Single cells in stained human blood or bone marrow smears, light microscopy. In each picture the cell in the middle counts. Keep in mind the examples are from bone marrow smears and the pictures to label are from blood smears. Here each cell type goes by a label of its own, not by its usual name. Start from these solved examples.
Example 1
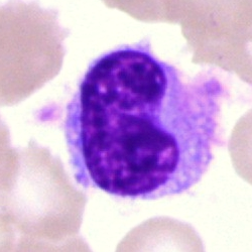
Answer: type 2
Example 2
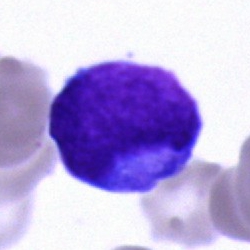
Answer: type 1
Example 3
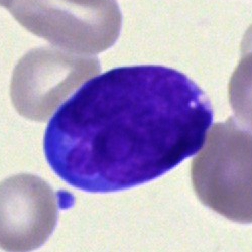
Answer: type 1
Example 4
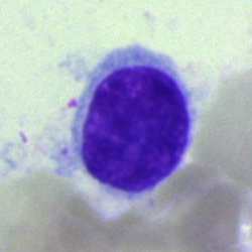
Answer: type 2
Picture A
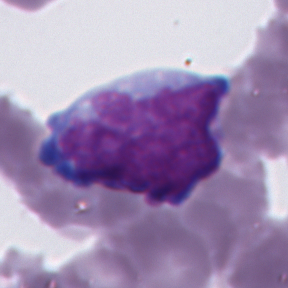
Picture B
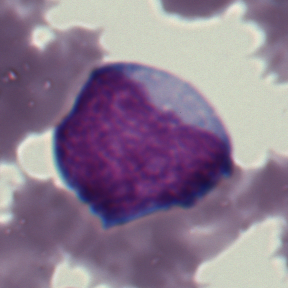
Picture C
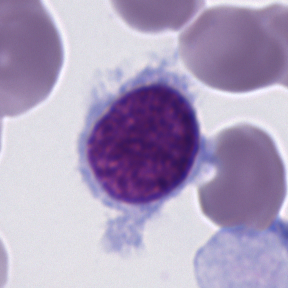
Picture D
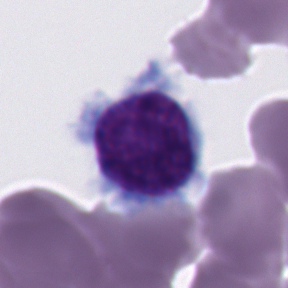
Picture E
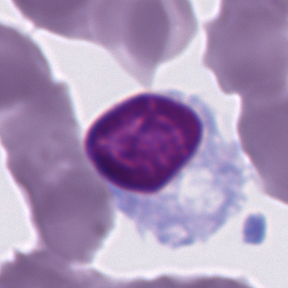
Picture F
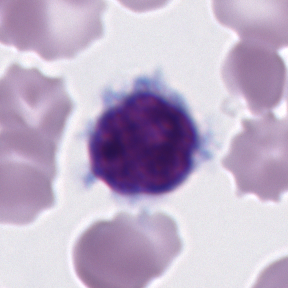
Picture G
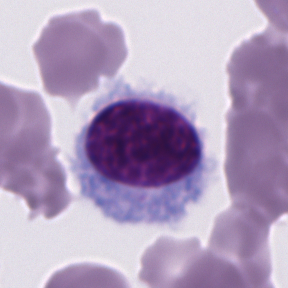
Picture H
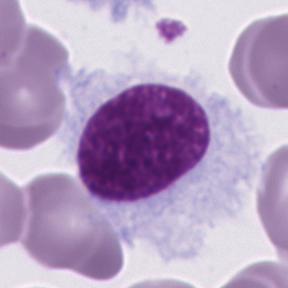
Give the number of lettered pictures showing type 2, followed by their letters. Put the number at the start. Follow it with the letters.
6: C, D, E, F, G, H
